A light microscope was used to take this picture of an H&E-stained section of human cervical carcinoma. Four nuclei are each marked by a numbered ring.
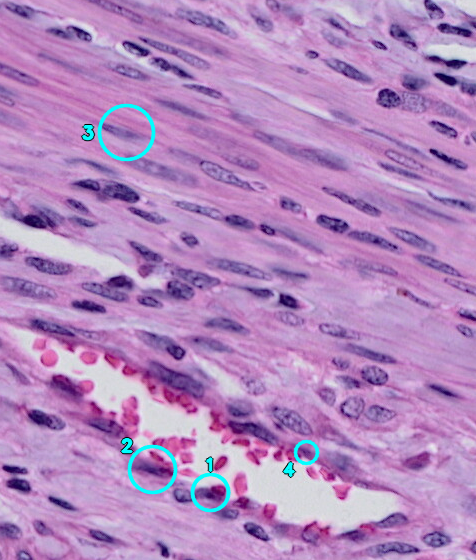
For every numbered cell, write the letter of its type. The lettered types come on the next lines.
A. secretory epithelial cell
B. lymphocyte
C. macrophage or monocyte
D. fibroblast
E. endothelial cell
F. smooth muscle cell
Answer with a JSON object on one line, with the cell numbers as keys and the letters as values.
{"1": "E", "2": "E", "3": "F", "4": "E"}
